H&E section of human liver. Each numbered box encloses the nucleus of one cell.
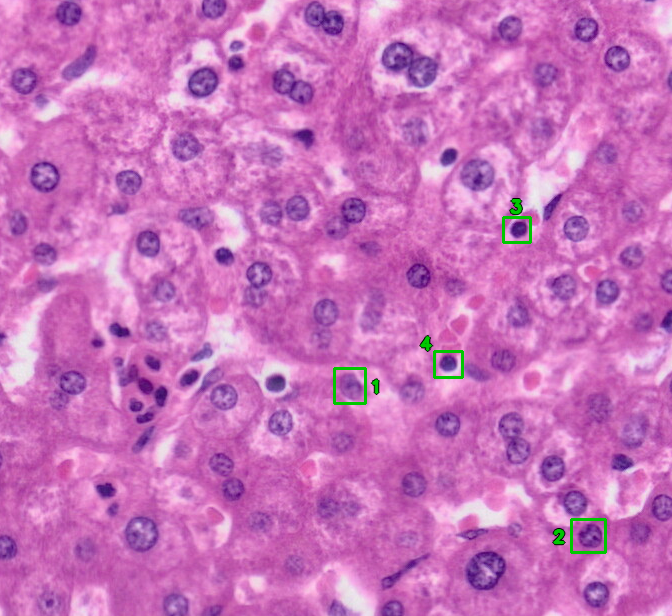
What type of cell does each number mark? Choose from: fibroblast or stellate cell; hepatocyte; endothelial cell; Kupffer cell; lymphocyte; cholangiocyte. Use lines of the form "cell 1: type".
cell 1: Kupffer cell
cell 2: hepatocyte
cell 3: lymphocyte
cell 4: lymphocyte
